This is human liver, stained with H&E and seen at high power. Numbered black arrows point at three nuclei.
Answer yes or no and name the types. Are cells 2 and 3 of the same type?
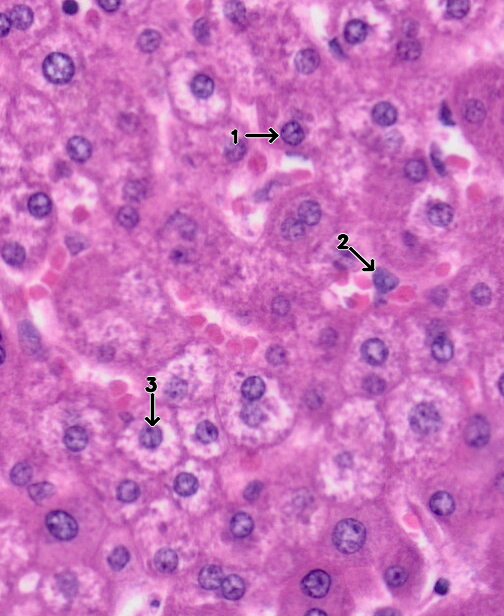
No, cell number 2 is an endothelial cell and cell number 3 is a hepatocyte.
